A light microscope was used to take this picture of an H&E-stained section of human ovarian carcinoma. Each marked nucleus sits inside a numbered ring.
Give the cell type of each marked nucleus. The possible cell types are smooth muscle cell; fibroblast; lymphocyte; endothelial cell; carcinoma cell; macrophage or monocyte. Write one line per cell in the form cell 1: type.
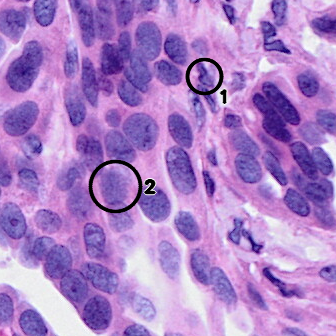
cell 1: fibroblast
cell 2: carcinoma cell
